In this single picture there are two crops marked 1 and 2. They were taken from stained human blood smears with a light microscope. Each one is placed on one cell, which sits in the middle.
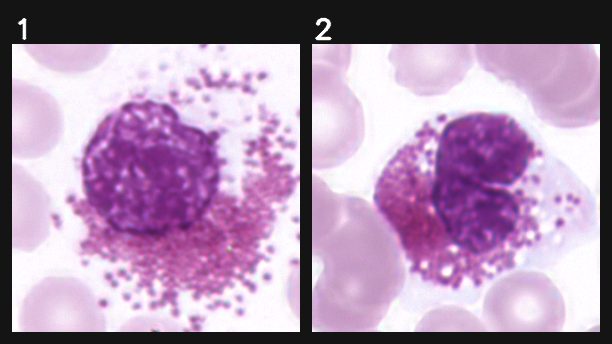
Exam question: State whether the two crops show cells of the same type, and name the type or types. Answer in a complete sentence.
Yes, both crops show eosinophils in the centre of the field.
